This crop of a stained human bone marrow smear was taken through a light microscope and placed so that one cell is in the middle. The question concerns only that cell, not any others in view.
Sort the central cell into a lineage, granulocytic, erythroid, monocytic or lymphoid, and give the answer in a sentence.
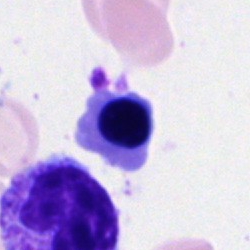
The central cell derives from the erythroid lineage.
